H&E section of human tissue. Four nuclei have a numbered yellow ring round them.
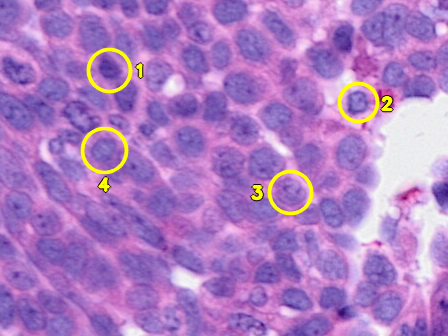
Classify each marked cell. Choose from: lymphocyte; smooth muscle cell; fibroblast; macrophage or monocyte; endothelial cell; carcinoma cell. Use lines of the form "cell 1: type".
cell 1: carcinoma cell
cell 2: macrophage or monocyte
cell 3: carcinoma cell
cell 4: carcinoma cell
